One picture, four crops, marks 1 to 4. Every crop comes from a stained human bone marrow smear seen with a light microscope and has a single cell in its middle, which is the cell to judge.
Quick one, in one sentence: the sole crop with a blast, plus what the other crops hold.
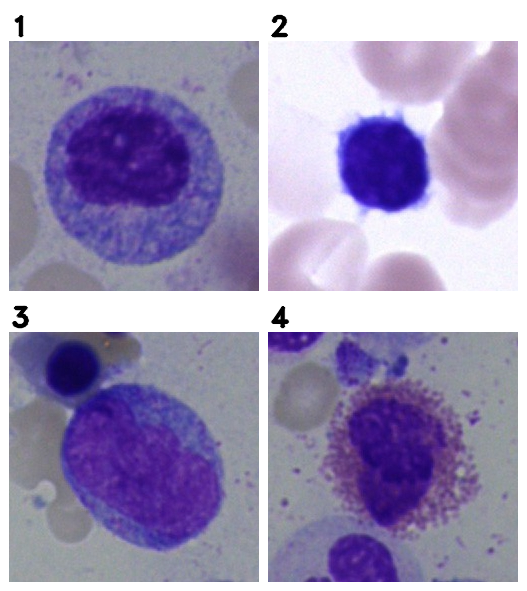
Crop 3 is read as a blast, while crop 1 is a promyelocyte, crop 2 is a lymphocyte and crop 4 is an eosinophil.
